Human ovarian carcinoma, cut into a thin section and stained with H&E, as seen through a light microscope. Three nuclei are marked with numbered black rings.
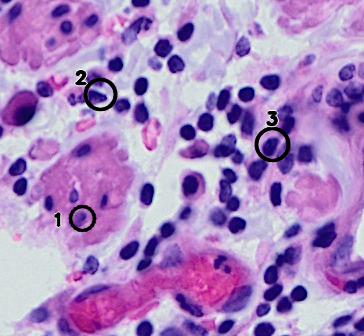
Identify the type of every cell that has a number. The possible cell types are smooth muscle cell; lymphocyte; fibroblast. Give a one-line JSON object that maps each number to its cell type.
{"1": "smooth muscle cell", "2": "lymphocyte", "3": "lymphocyte"}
